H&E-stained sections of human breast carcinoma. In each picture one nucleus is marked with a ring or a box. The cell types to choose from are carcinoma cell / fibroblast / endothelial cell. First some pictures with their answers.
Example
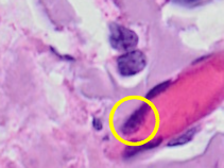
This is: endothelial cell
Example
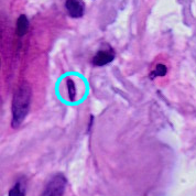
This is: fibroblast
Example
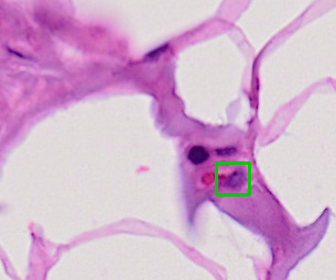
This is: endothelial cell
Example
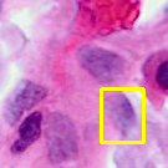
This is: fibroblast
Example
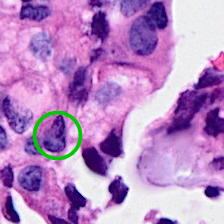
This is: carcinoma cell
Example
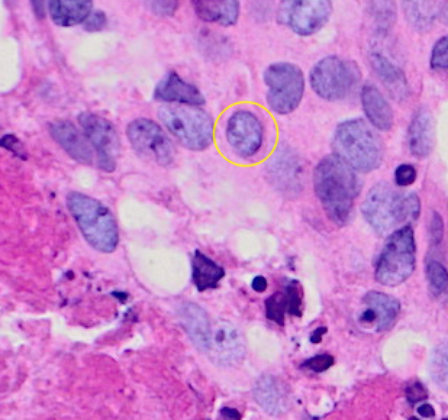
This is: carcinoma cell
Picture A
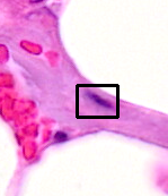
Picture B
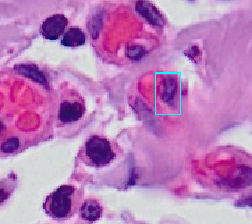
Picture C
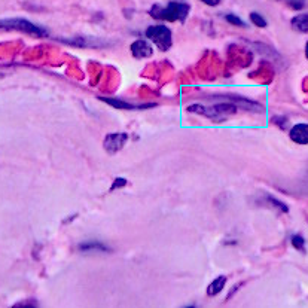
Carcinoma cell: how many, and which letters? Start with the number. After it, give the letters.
0, none of them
